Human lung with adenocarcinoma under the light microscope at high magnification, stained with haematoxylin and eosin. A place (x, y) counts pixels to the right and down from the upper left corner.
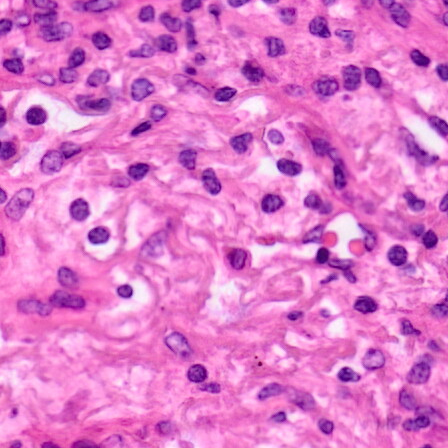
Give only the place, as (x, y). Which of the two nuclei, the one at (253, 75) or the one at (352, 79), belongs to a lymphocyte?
(352, 79)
